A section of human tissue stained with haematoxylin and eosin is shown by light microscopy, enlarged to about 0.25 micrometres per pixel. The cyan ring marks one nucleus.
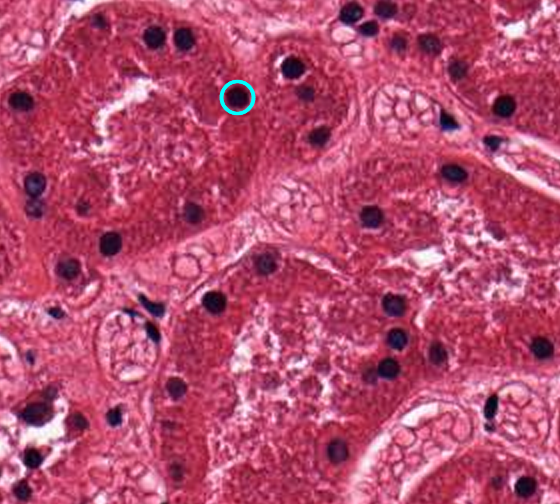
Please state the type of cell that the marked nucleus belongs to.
proximal tubule cell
